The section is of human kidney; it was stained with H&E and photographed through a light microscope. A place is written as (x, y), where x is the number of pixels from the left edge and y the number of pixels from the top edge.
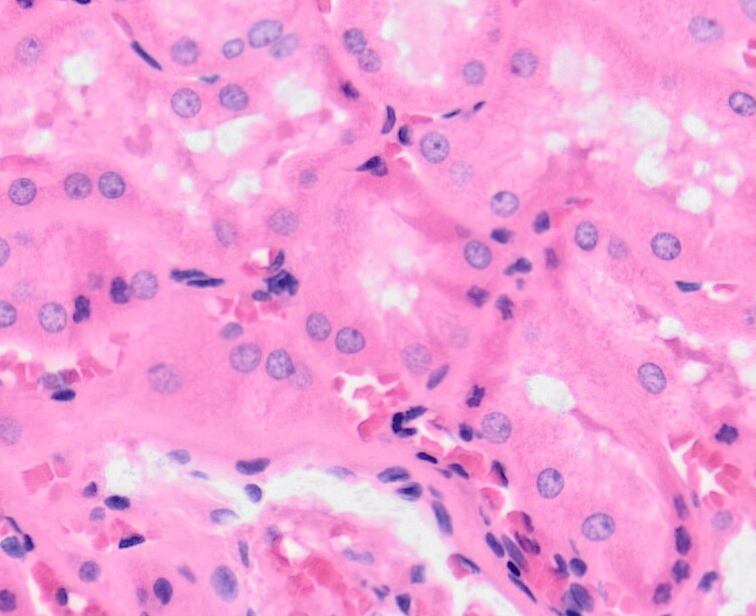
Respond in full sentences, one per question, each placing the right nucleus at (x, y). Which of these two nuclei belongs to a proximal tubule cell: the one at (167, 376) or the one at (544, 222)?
The nucleus at position (167, 376) belongs to a proximal tubule cell.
